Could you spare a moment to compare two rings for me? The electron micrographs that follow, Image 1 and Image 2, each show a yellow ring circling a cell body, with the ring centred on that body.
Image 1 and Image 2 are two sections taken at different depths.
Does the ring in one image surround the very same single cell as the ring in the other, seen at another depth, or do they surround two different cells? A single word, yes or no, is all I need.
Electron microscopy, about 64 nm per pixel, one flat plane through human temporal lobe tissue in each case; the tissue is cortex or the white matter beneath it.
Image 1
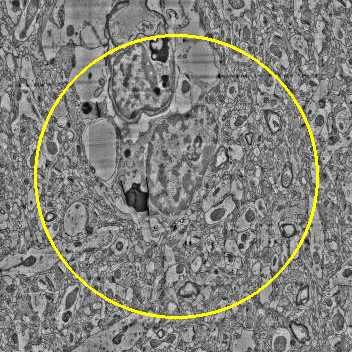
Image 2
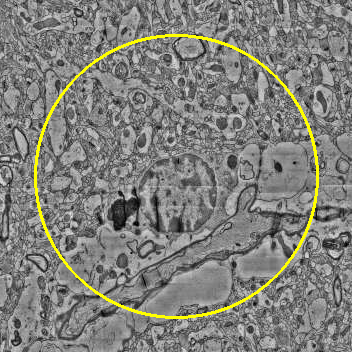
no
